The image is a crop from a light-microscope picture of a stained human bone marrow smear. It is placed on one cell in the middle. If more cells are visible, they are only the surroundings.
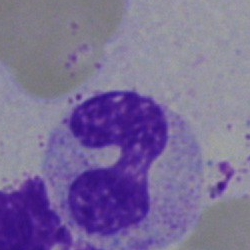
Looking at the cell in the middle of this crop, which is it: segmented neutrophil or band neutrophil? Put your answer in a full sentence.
The cell around which this crop is centred is a band neutrophil.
